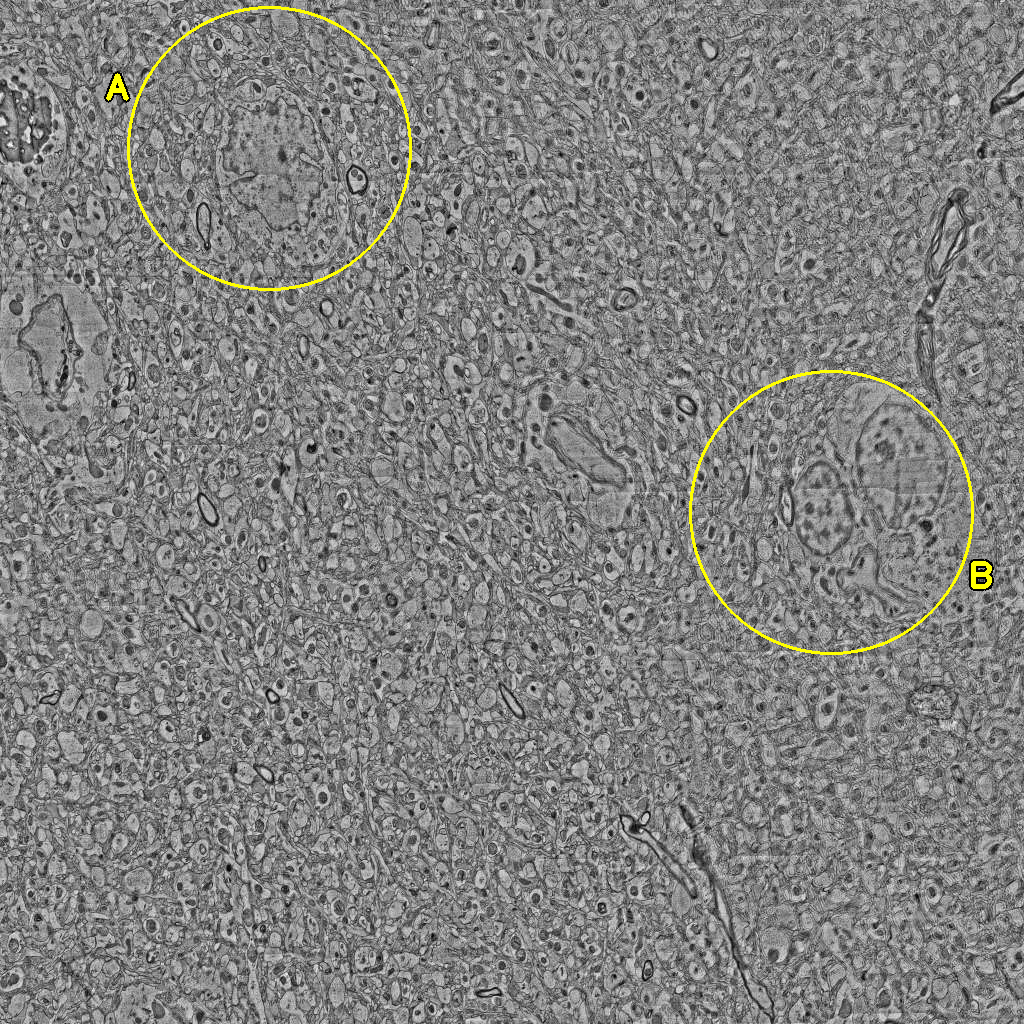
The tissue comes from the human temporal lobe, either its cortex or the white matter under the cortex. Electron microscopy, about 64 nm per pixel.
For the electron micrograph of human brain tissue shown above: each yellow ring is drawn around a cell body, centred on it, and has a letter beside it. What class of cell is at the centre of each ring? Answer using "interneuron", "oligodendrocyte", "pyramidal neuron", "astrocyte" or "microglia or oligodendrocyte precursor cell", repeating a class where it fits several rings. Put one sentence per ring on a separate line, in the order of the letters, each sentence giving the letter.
At ring A, the central cell is an interneuron.
At ring B, the central cell is an oligodendrocyte.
